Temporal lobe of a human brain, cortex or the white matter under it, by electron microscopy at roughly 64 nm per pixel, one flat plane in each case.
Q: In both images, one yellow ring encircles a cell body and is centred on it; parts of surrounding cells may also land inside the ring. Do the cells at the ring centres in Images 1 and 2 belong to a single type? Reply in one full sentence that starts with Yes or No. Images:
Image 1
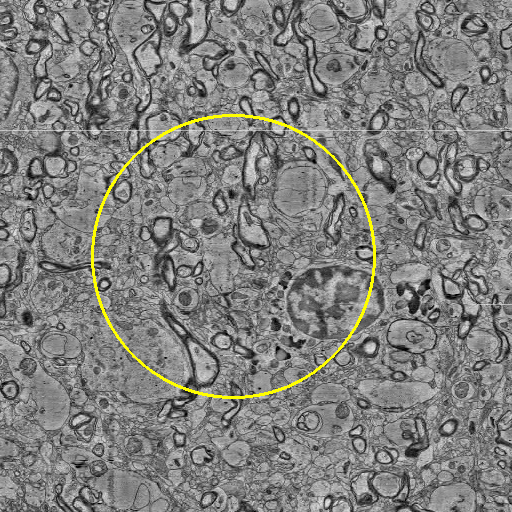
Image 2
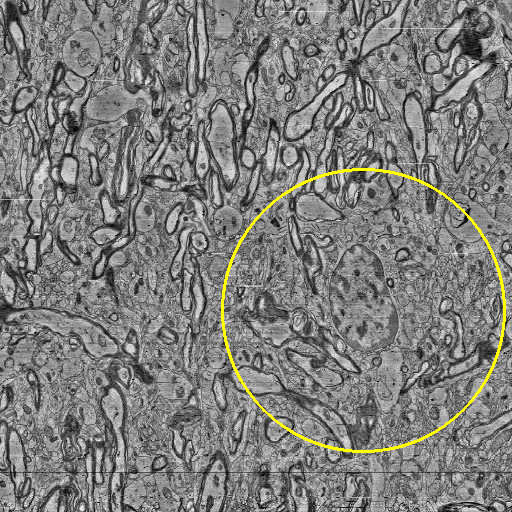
Yes, the cells at the ring centres in Images 1 and 2 are of a single type.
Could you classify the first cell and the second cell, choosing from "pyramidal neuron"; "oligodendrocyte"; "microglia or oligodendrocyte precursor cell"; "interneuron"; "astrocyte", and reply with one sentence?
The ring centre holds a microglial cell or oligodendrocyte precursor cell in each of the two pictures.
